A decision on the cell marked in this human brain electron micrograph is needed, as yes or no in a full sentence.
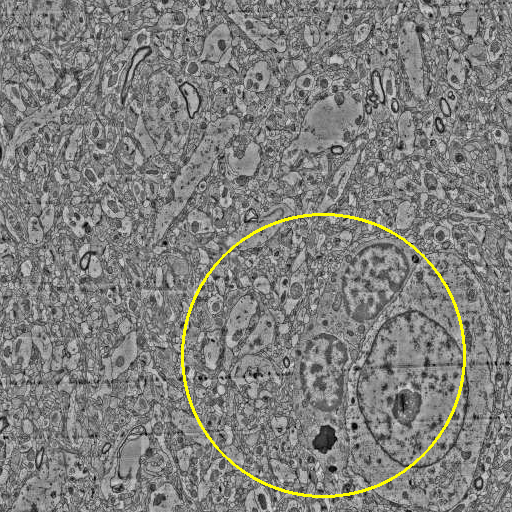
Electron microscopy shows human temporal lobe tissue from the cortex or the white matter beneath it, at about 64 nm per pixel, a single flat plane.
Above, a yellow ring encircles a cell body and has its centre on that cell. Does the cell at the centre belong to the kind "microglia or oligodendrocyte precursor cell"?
No, a different kind fits the cell at the centre of the ring in the picture.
